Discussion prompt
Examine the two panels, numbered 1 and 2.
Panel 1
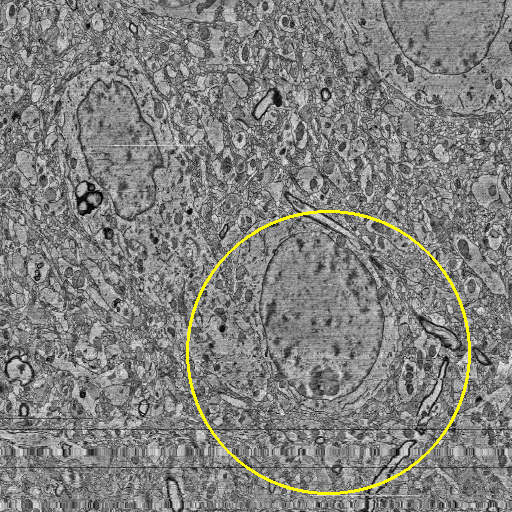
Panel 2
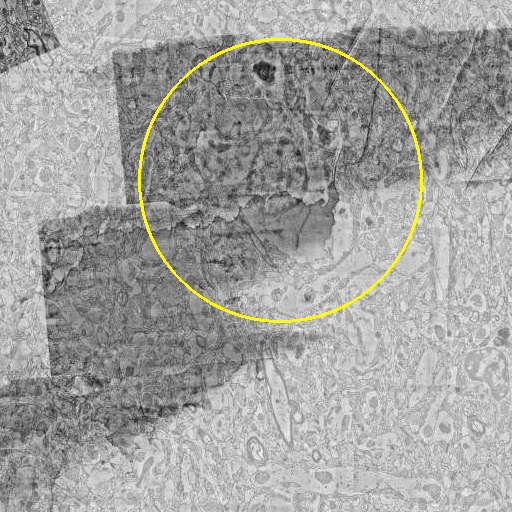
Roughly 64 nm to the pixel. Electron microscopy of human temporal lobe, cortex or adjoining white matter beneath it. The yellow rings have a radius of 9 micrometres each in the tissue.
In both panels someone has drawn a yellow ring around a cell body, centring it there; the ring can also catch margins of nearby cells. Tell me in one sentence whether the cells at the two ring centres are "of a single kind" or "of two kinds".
Taken together, the two cells centred in the rings of Panels 1 and 2 are of two kinds.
